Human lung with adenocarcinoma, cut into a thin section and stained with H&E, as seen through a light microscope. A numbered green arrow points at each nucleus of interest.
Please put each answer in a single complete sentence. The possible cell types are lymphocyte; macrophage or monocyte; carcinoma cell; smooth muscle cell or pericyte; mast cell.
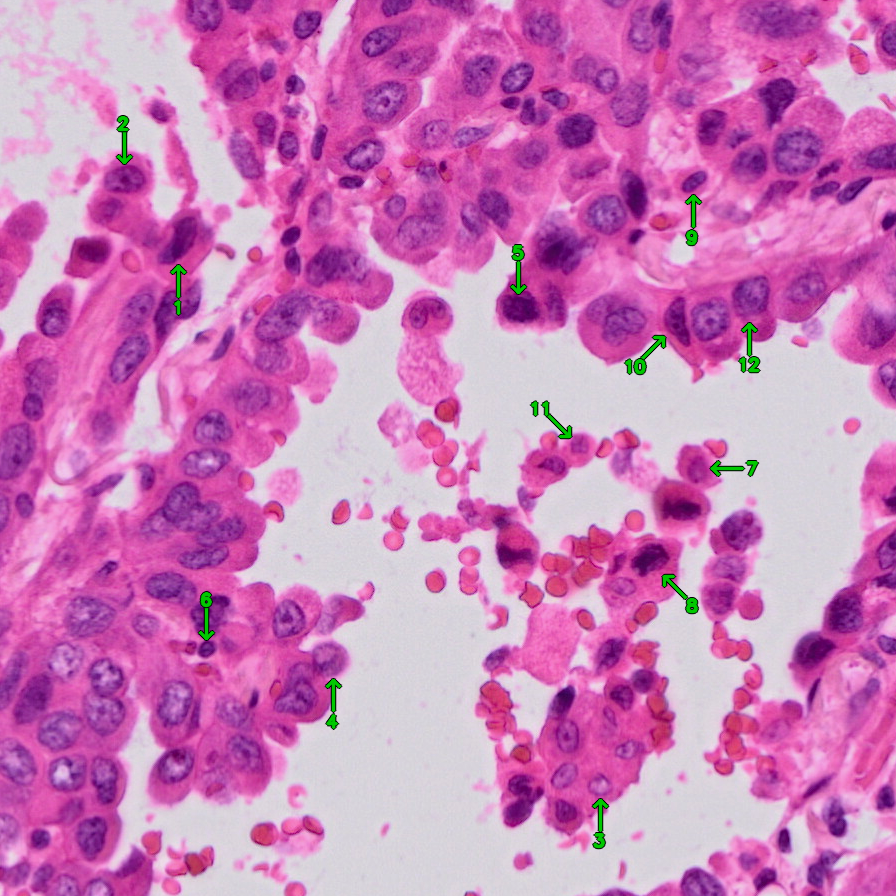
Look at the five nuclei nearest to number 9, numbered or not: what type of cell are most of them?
Of the five nuclei nearest to number 9, most belong to carcinoma cells.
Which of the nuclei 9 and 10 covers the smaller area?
Nucleus 9 covers less area, with nucleus 10 about 2 times as large.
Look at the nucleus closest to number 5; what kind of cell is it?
The nucleus nearest to number 5 is that of a carcinoma cell.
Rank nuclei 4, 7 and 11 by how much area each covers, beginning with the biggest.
Going from the biggest nucleus down to the smallest gives 4, 7, 11.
